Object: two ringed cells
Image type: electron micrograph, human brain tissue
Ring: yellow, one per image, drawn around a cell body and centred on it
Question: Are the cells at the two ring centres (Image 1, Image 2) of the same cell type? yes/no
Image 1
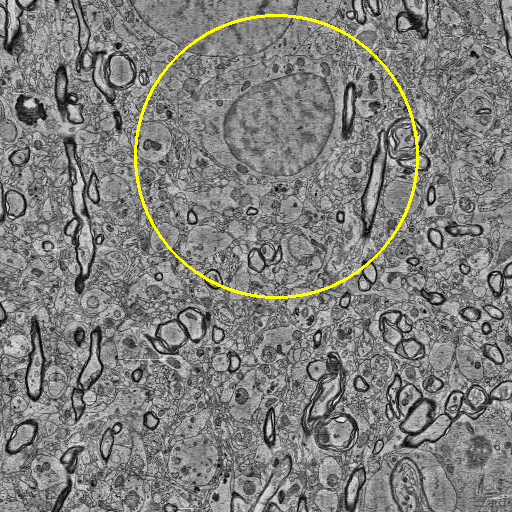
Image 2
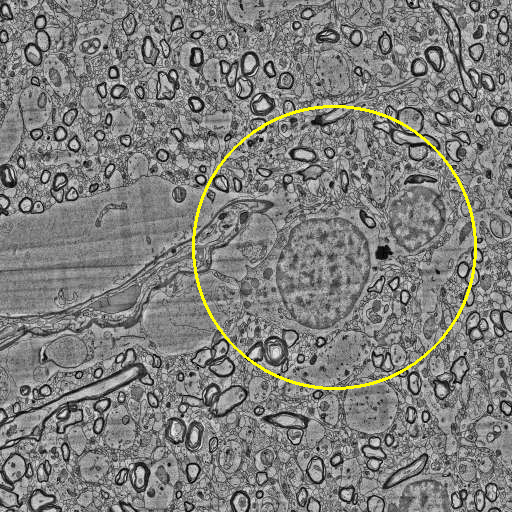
yes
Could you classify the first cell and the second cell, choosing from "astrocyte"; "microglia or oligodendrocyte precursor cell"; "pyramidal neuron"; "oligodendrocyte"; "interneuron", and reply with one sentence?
Each of the two rings is centred on an oligodendrocyte.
